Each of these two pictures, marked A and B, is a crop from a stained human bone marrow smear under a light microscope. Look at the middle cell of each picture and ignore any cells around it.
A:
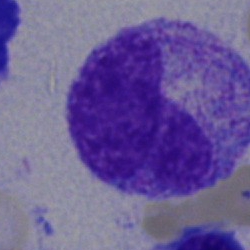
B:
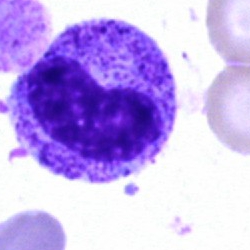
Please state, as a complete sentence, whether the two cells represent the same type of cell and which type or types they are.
Yes, both crops show metamyelocytes in their central position.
